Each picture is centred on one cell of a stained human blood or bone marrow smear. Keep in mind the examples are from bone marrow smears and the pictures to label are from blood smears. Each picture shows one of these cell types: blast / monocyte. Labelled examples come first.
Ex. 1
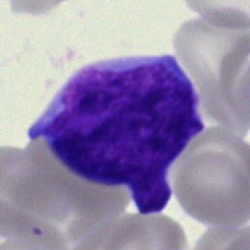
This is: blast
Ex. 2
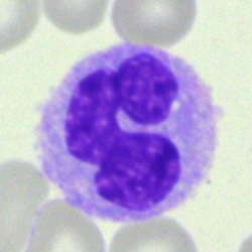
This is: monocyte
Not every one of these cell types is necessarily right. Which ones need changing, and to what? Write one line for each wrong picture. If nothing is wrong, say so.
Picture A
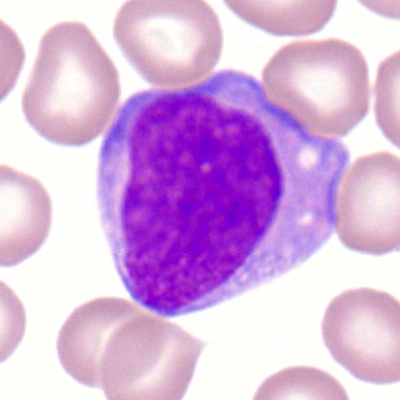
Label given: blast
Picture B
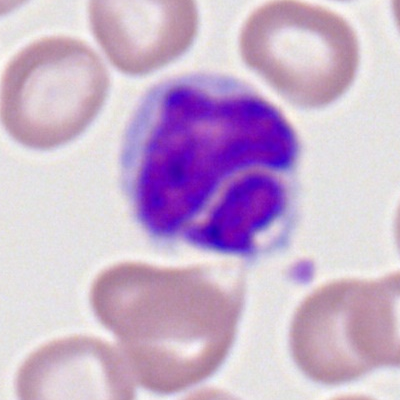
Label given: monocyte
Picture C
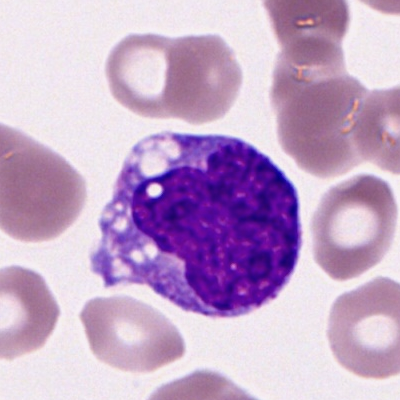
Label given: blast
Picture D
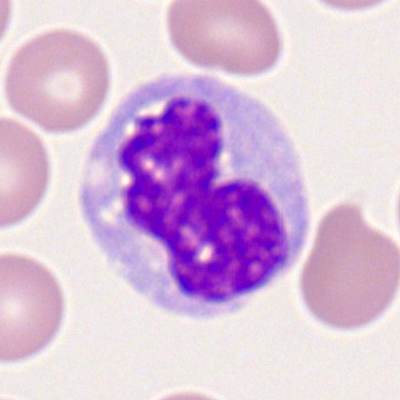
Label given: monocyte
C should be monocyte, not blast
